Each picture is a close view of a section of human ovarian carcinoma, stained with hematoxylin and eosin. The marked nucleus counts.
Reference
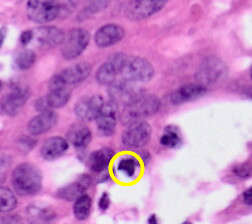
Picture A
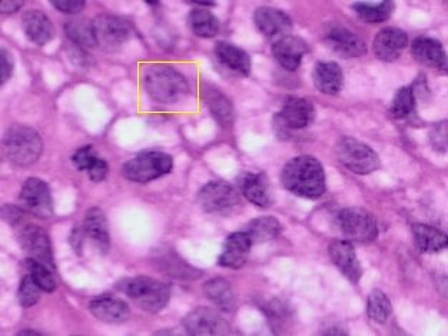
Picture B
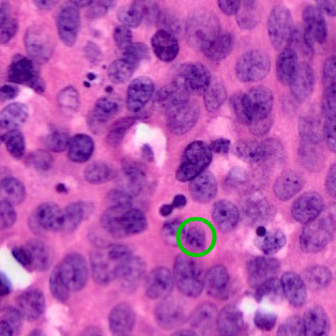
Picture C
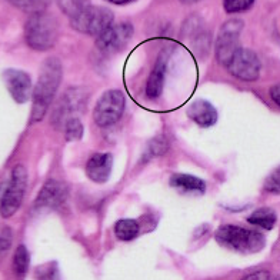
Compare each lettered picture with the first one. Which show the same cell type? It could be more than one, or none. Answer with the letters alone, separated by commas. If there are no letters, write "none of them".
A, C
